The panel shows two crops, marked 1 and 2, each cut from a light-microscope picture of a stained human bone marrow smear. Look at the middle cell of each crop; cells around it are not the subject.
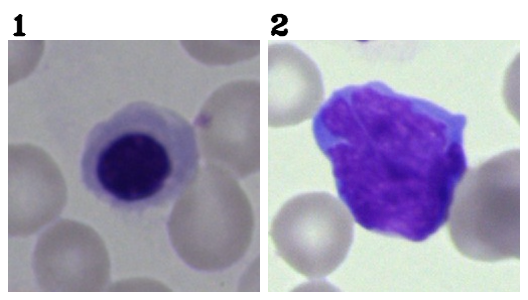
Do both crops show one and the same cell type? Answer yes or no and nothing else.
no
